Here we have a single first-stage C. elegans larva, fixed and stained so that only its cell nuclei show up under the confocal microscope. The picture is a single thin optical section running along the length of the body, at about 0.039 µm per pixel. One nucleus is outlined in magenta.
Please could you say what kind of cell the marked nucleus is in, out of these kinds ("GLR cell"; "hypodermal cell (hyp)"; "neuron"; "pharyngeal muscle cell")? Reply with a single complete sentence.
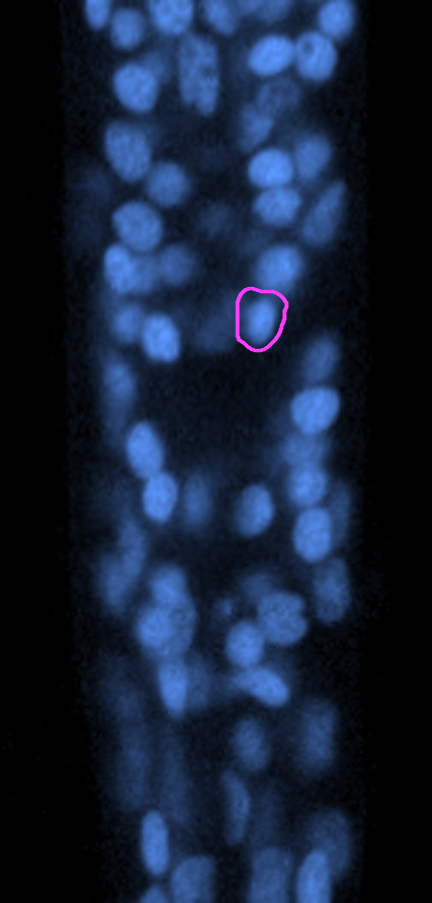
This is the nucleus of a GLR cell.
